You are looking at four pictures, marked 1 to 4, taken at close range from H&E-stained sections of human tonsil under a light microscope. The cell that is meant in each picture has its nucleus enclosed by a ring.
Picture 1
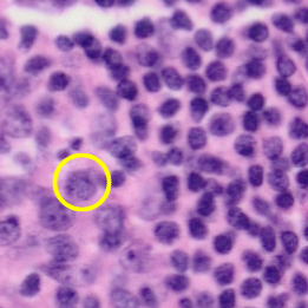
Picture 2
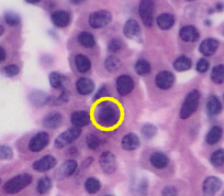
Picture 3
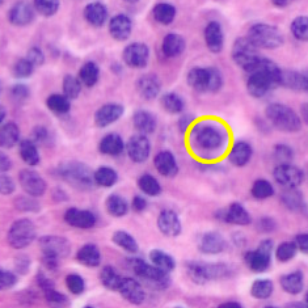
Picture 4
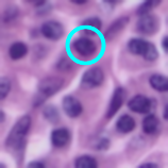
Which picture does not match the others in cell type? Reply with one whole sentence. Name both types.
Picture 1 is the odd one out: it shows a proliferating B cell, while the others show plasma cells.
